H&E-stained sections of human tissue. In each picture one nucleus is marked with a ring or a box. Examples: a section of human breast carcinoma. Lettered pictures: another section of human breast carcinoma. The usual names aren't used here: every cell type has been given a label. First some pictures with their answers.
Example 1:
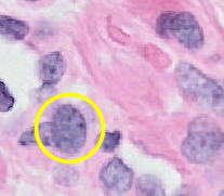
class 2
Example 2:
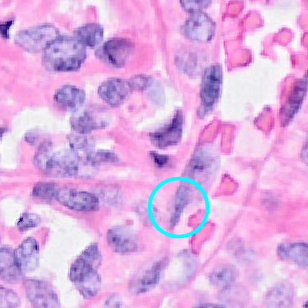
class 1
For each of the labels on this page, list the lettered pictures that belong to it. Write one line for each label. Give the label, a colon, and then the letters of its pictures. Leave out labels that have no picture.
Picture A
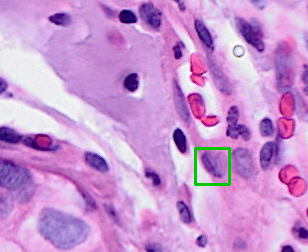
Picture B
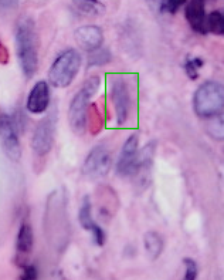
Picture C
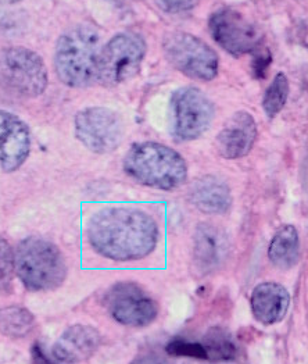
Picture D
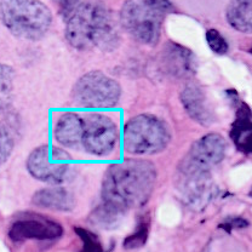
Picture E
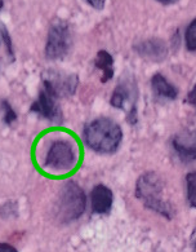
class 2: C, D, E
class 1: A, B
